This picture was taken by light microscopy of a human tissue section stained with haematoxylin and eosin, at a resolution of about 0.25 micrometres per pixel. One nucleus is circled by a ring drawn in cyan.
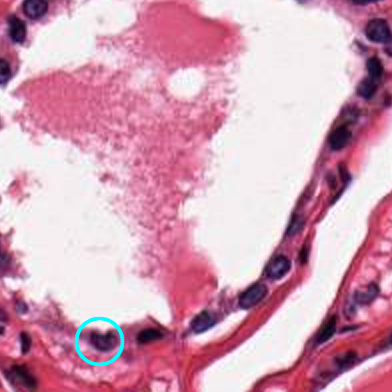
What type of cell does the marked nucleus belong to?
thyroid follicular cell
